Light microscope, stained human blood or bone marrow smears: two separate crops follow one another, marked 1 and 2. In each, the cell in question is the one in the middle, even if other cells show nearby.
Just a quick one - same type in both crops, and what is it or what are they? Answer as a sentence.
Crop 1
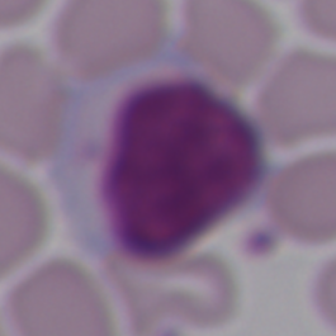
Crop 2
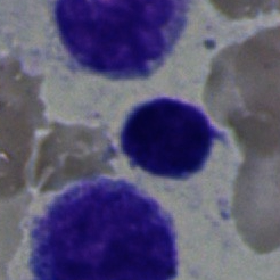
Yes, at the centre of both crops are lymphocytes.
